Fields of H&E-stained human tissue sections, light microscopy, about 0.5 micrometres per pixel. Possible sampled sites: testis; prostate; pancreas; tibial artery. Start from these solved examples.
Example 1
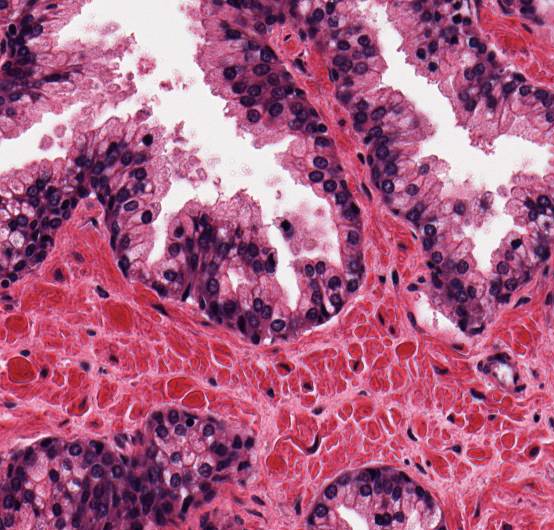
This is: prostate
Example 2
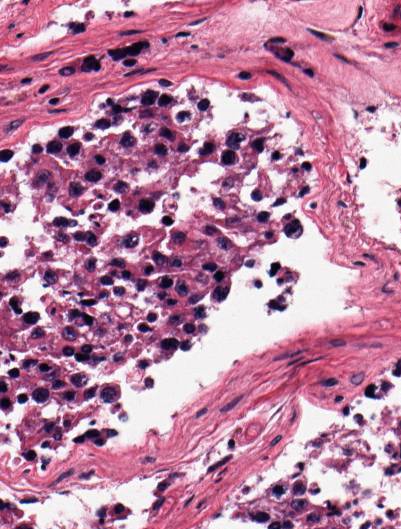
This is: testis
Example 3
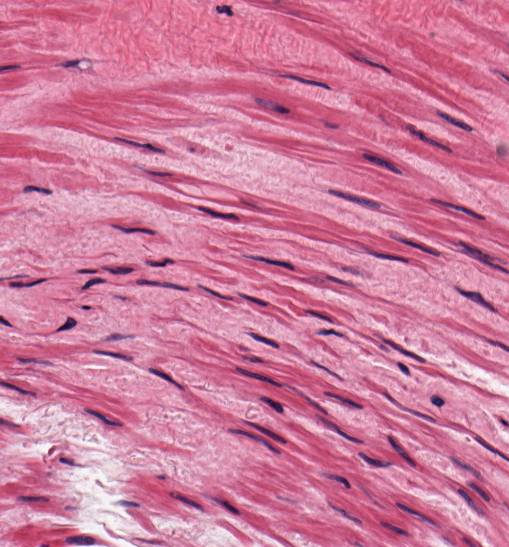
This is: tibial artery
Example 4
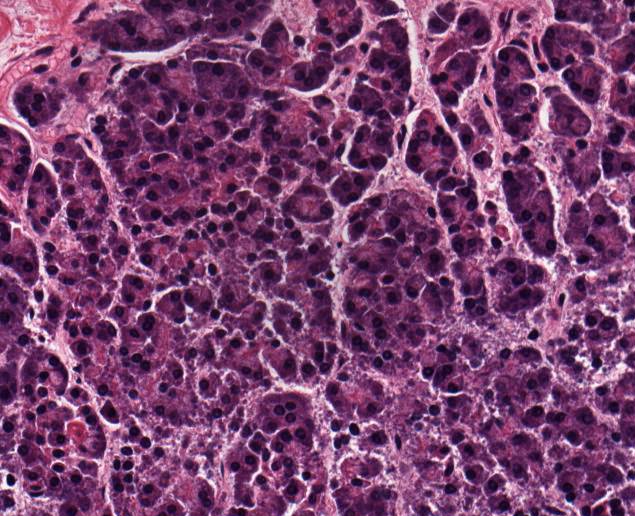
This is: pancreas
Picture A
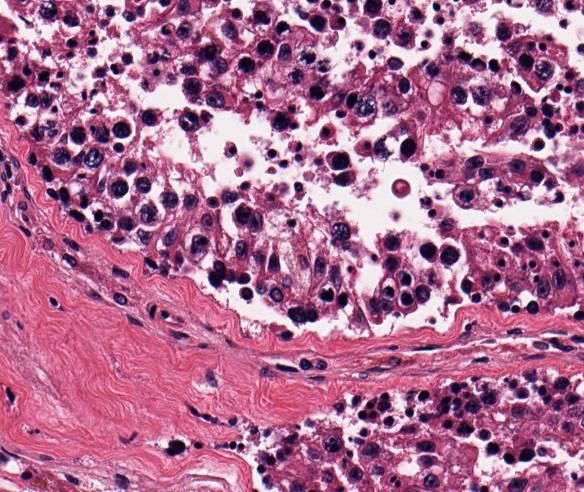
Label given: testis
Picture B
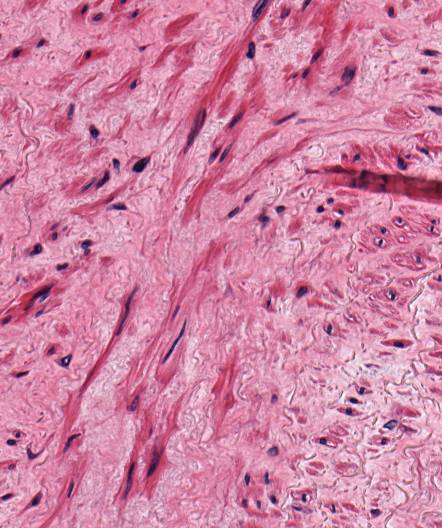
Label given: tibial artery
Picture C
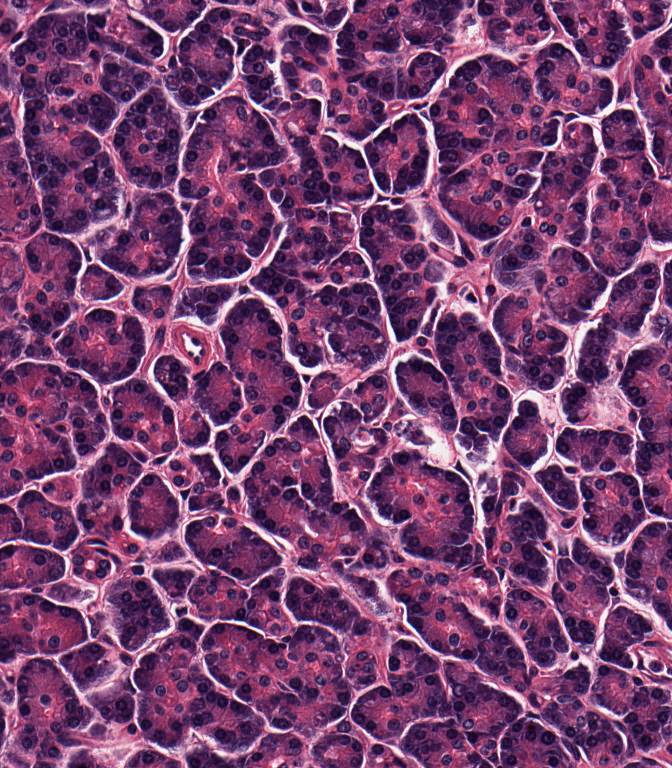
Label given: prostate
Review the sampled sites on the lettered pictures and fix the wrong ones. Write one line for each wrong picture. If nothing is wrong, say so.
C should be pancreas, not prostate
